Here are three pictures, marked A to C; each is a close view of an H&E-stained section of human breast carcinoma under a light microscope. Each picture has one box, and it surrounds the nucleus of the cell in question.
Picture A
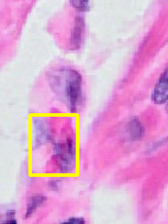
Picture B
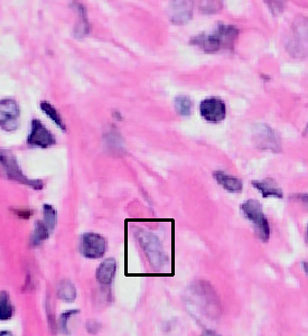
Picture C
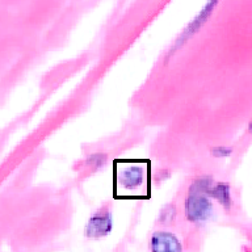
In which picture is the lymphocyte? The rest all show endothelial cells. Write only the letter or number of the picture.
C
